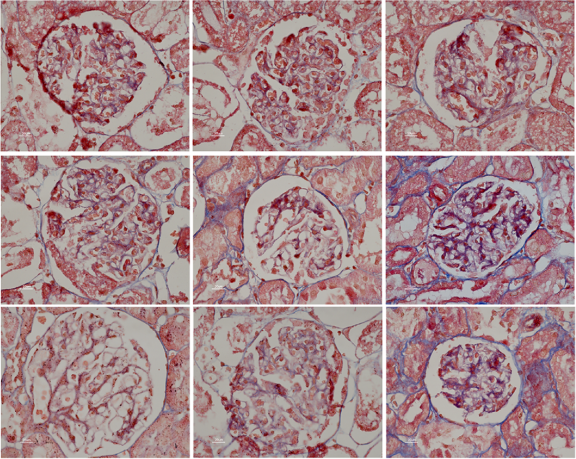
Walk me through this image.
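Here again are nine views of kidney cortex, each with a glomerulus at its centre: a lobulated capillary tuft set within its capsule and surrounded by cut tubules. In several frames, especially in the lower right part of the grid, wisps and patches of blue lie in the spaces between tubules and along the capsule, whereas in the top row the spaces between tubules are narrow and almost free of blue.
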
